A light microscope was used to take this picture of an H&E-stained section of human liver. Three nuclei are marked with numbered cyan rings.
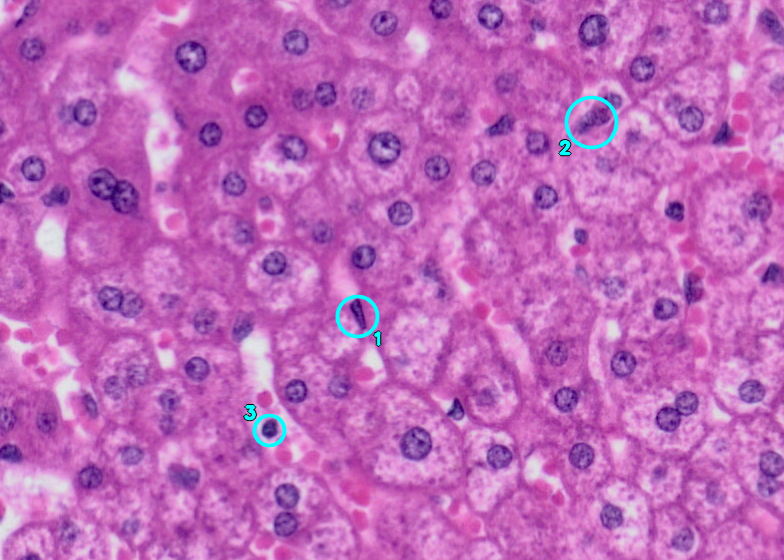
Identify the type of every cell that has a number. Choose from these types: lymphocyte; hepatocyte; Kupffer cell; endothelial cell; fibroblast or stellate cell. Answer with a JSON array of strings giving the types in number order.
["fibroblast or stellate cell", "Kupffer cell", "lymphocyte"]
